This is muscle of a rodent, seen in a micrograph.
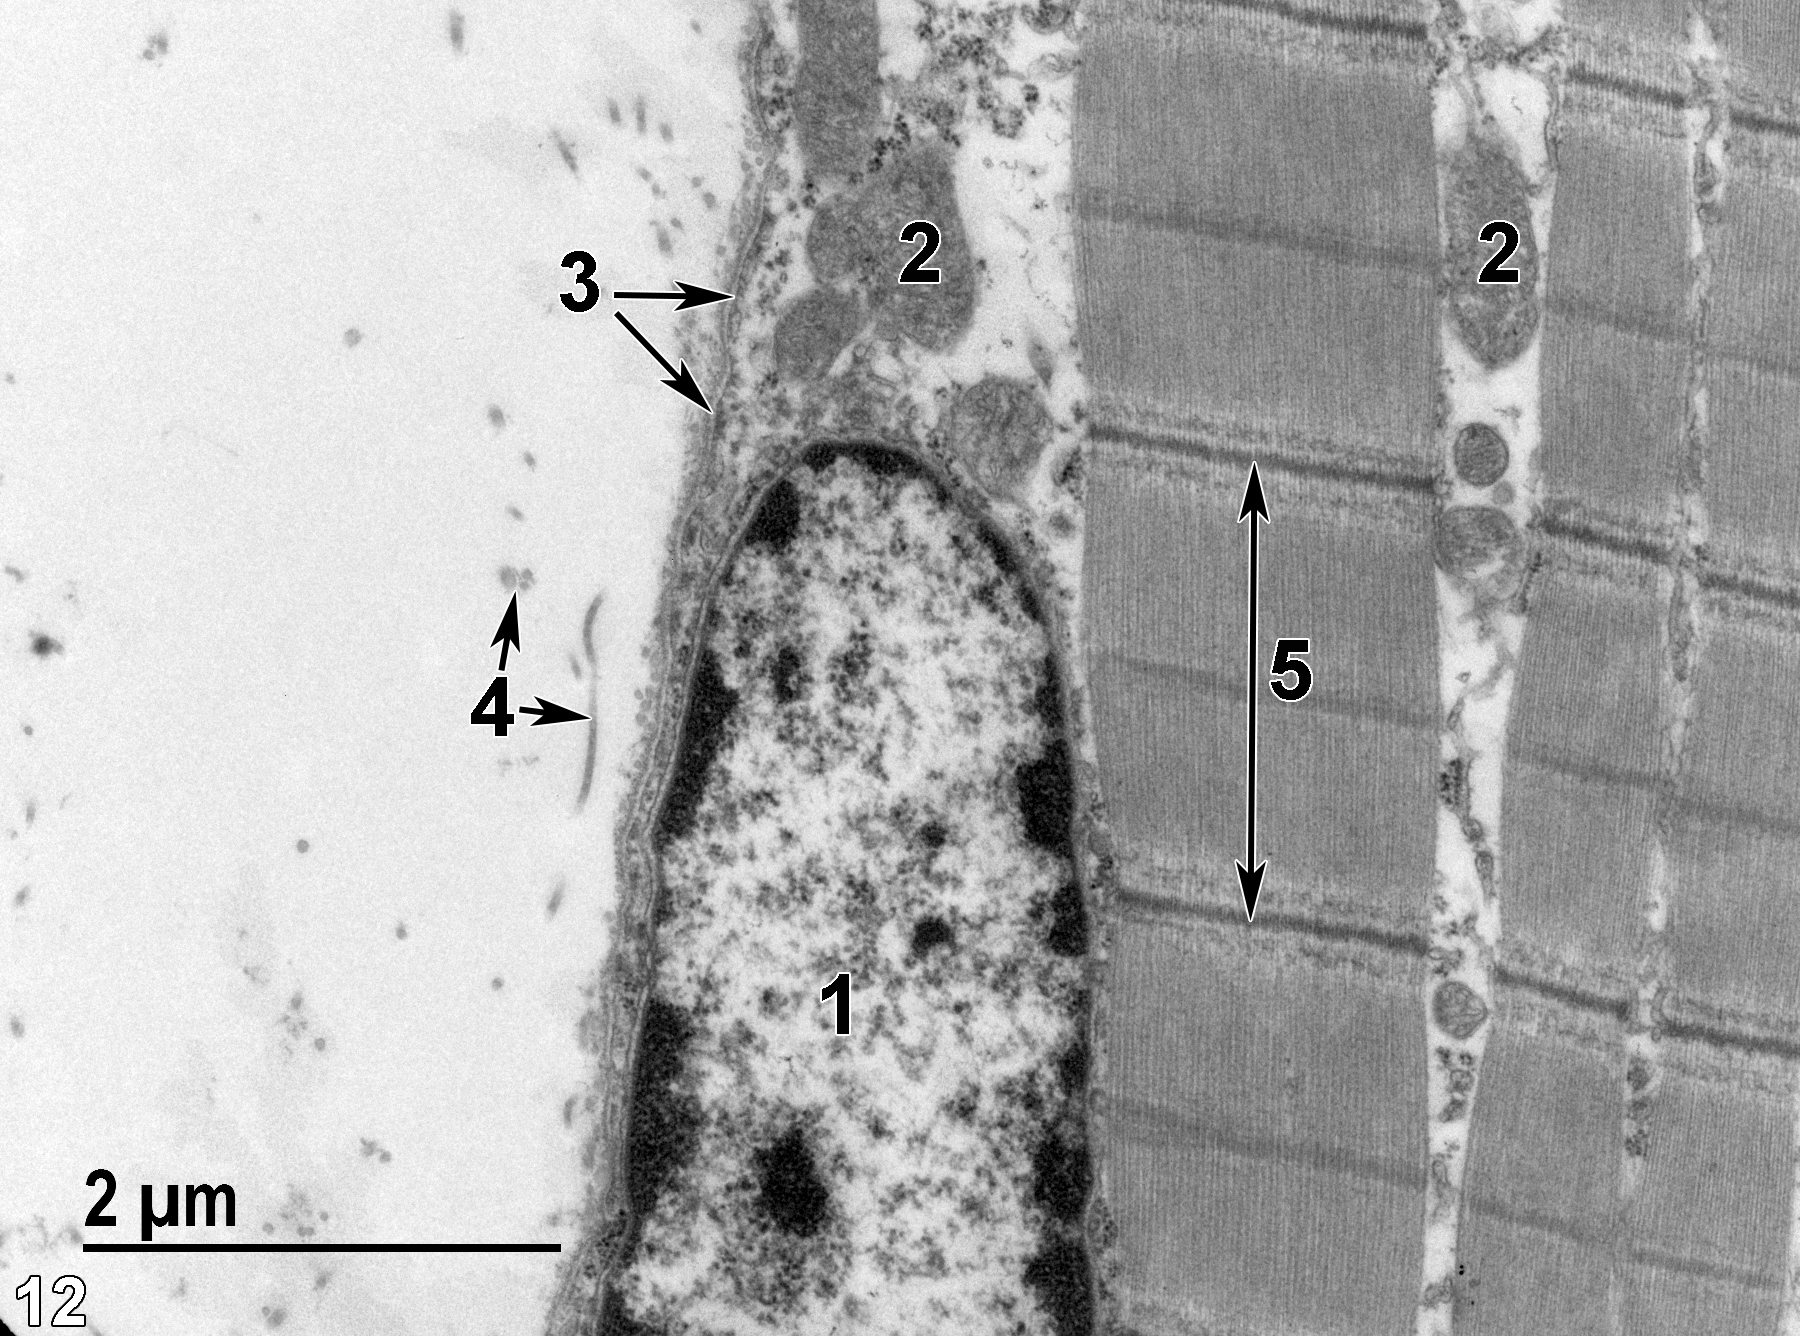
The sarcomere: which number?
5.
